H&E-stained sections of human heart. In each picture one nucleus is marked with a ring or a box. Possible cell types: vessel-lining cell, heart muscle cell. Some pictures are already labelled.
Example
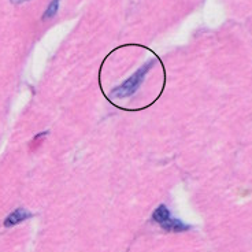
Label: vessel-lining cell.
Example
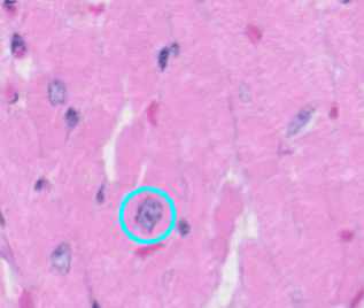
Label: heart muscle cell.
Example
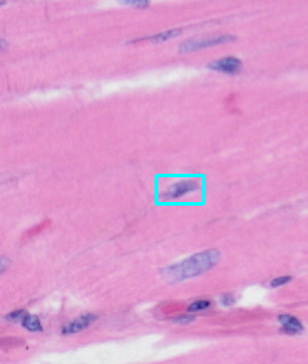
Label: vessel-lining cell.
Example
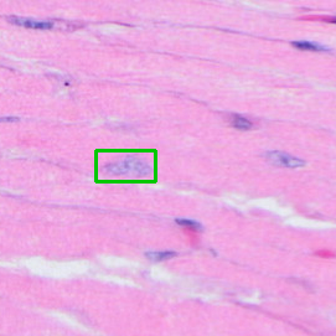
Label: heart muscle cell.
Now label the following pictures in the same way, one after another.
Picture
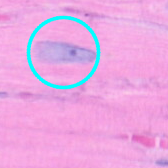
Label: heart muscle cell.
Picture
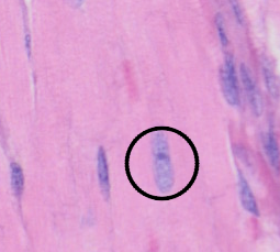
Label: heart muscle cell.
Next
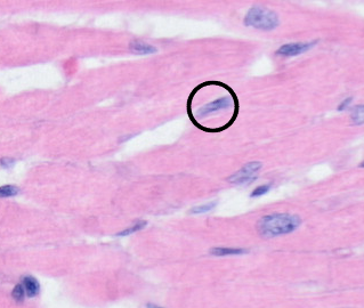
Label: vessel-lining cell.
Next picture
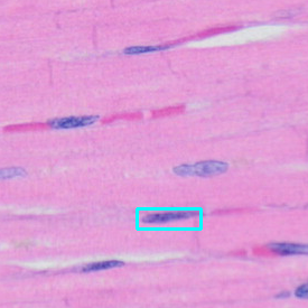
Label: vessel-lining cell.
